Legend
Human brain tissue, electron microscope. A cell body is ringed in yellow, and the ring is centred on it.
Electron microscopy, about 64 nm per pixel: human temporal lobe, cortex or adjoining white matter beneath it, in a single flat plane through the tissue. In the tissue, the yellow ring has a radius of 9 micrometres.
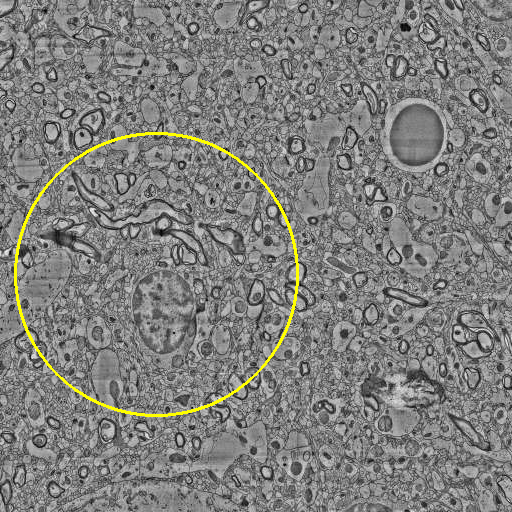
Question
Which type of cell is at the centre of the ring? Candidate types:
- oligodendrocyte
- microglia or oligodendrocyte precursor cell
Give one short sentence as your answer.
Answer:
The yellow ring is centred here on an oligodendrocyte.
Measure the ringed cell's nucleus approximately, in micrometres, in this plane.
The nucleus comes to roughly 5 by 4 micrometres in this plane.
